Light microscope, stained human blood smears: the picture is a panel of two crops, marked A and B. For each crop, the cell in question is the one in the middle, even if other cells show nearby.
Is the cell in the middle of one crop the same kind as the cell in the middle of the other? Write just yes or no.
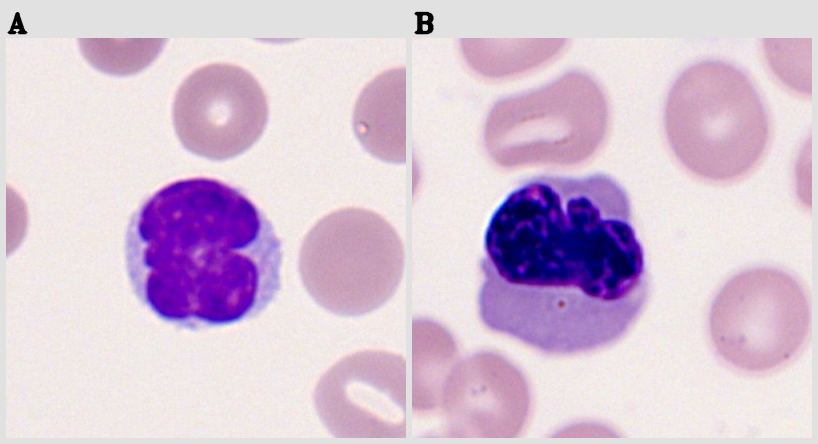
no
